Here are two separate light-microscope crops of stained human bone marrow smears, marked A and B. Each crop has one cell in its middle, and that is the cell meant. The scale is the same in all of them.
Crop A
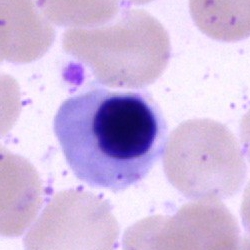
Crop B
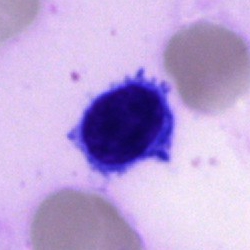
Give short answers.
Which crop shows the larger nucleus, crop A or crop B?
B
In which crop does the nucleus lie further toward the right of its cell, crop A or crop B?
A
